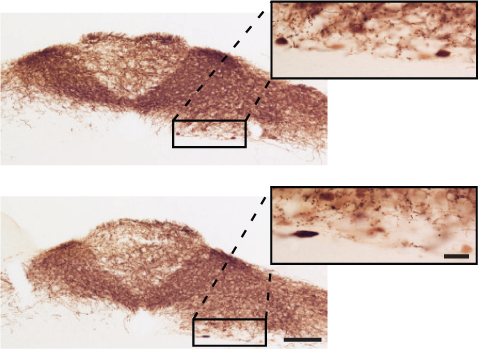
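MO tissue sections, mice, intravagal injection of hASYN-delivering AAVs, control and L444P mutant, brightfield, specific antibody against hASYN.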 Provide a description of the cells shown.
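These are two low-magnification cross-sections of the dorsal brainstem, one above the other. The insets show fine, beaded brown processes and a few darkly stained, elongated cell bodies lying among them.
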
